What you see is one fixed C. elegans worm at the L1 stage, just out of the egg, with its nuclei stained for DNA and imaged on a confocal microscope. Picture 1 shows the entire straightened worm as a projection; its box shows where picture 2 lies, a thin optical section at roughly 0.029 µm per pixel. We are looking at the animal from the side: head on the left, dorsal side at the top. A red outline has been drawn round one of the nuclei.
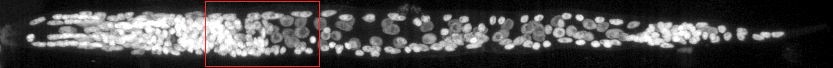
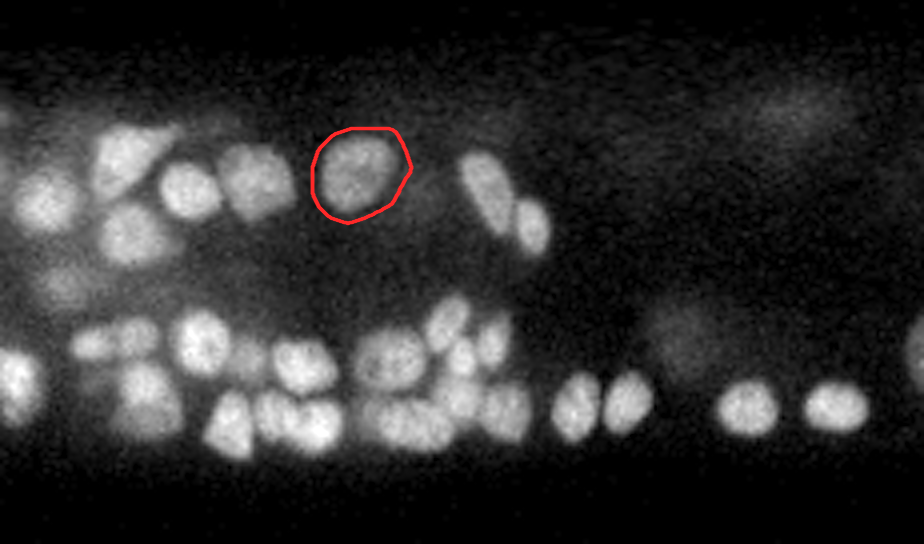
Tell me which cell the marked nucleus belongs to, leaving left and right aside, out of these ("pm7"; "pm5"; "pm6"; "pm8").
pm7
